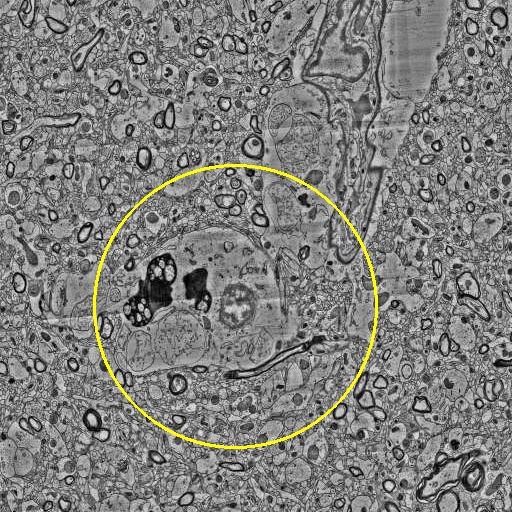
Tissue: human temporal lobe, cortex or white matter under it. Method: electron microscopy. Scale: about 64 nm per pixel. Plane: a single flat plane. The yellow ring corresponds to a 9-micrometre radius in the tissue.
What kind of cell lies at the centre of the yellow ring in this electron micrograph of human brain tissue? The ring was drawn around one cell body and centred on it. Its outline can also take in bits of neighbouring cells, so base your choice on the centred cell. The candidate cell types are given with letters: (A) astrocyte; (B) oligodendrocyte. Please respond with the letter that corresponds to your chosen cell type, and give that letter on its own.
A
